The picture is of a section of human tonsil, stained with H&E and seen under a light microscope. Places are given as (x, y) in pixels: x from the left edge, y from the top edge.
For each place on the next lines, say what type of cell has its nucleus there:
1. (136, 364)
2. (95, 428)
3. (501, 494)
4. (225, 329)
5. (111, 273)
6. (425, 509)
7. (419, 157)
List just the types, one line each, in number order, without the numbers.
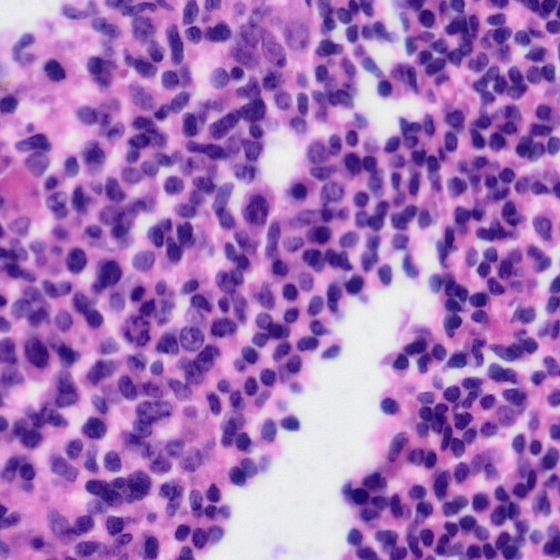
proliferating B cell
proliferating B cell
small lymphocyte
proliferating B cell
proliferating B cell
small lymphocyte
small lymphocyte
